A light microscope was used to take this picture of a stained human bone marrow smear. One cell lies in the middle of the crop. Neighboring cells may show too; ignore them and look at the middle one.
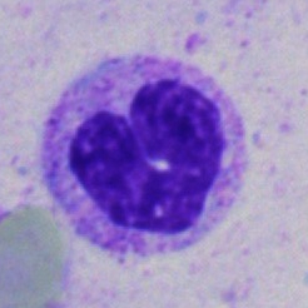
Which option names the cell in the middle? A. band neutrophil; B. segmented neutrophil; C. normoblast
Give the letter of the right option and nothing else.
A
